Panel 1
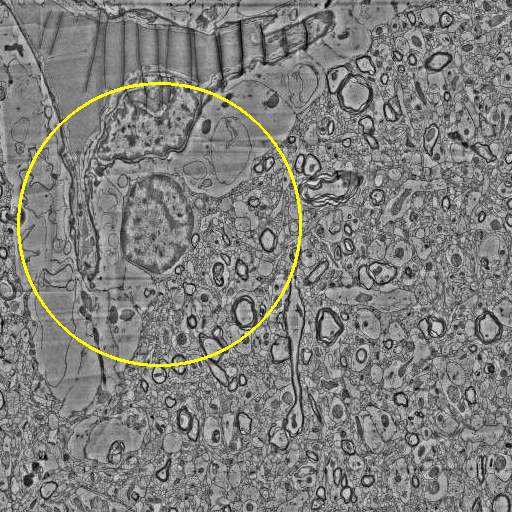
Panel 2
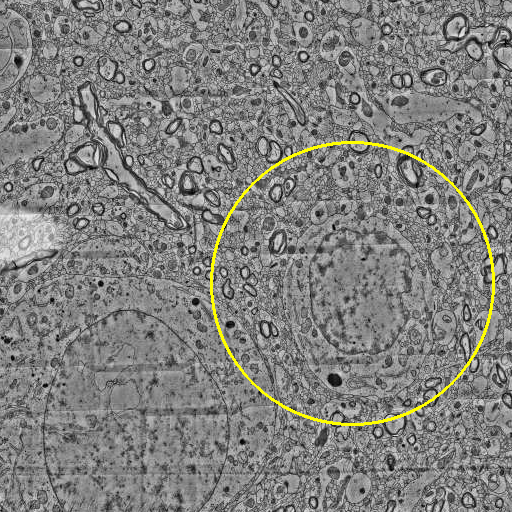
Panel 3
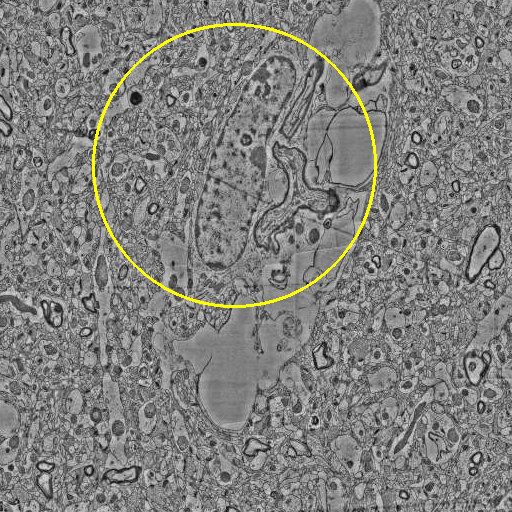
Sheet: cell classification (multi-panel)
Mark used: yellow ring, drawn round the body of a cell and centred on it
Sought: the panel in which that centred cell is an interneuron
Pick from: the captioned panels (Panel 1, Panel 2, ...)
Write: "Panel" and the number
Panel 2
